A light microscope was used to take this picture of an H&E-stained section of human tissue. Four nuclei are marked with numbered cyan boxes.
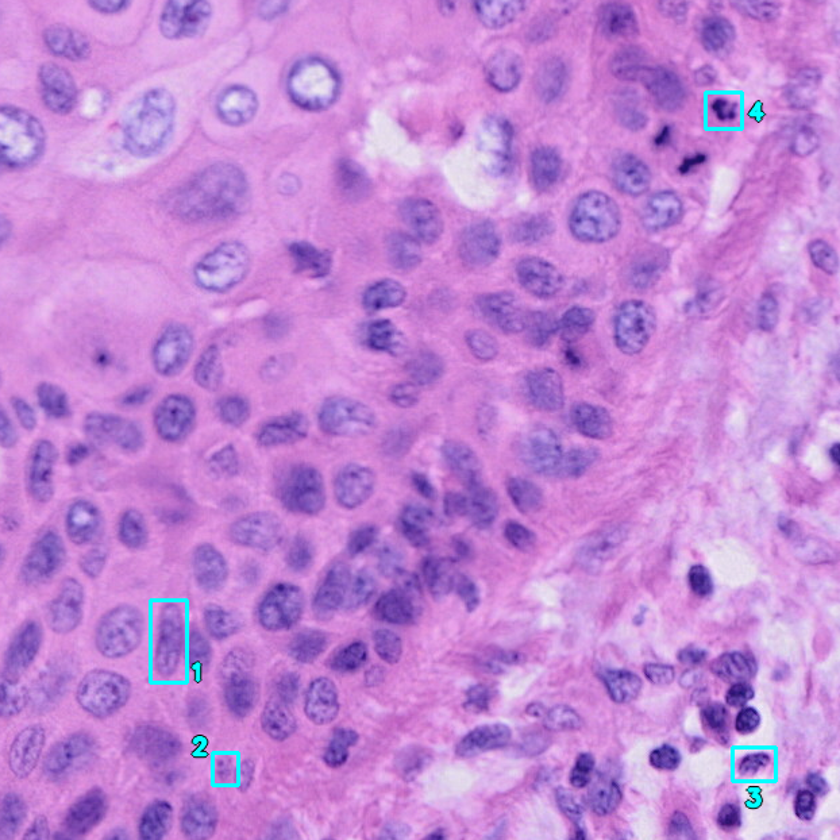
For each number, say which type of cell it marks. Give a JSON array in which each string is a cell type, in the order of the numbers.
["squamous carcinoma cell", "squamous carcinoma cell", "lymphocyte", "squamous carcinoma cell"]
